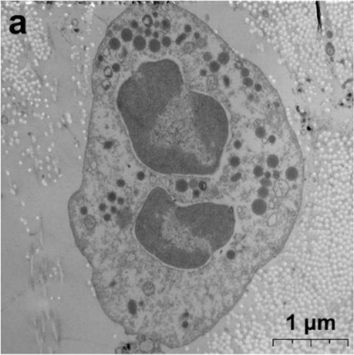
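A neutrophil, an oval cell whose nucleus lies in two dense lobes with darker chromatin along their rims. The cytoplasm holds many round, electron-dense granules of varying size, with some paler vesicles among them. The cell outline is smooth with only small projections. It lies in pale extracellular matrix.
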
